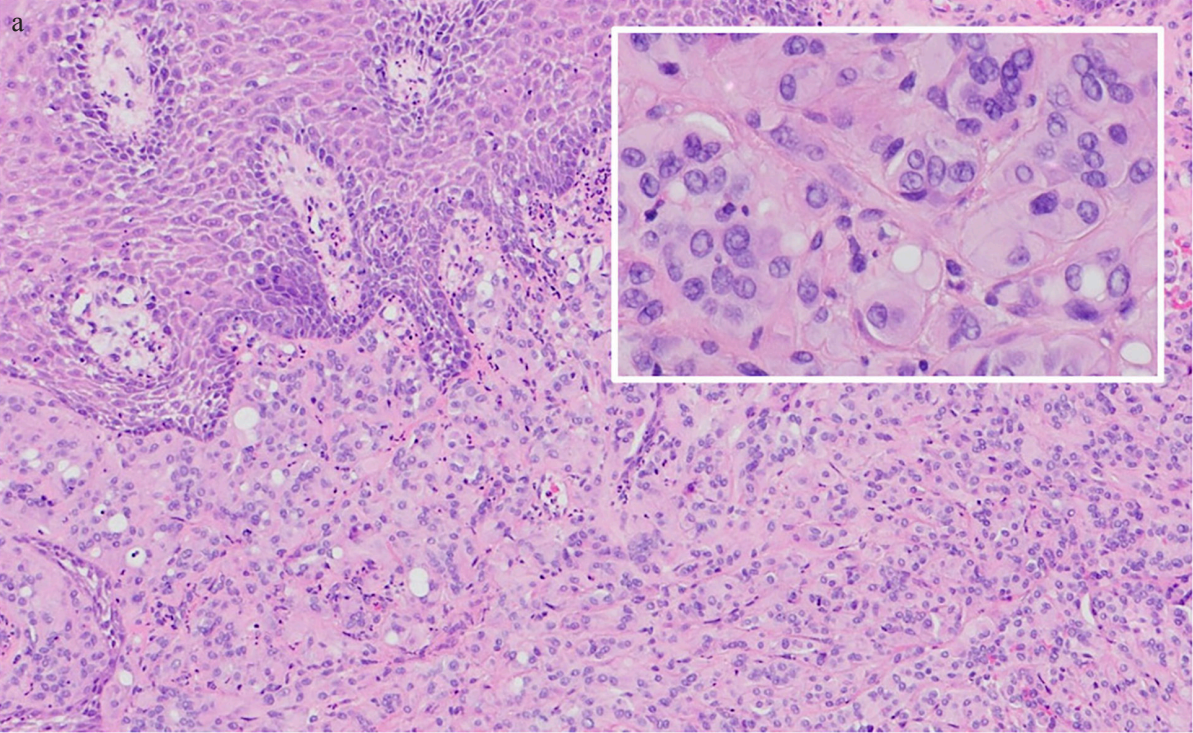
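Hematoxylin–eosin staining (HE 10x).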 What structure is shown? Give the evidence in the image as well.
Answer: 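Nests of polygonal cells. Below the surface epithelium, many-sided cells with pink cytoplasm are gathered in groups. Thin pink strands of connective tissue separate the groups of cells.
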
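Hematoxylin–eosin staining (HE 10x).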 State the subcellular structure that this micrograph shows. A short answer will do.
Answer: Intracytoplasmic vacuoles.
